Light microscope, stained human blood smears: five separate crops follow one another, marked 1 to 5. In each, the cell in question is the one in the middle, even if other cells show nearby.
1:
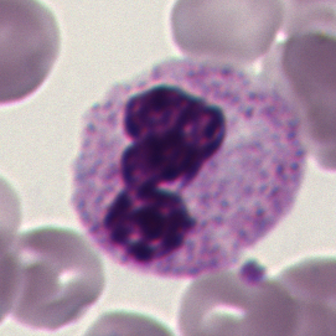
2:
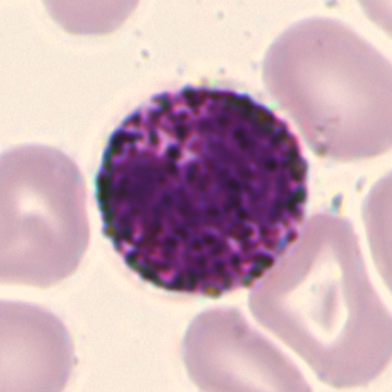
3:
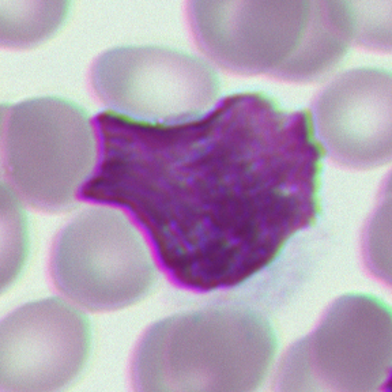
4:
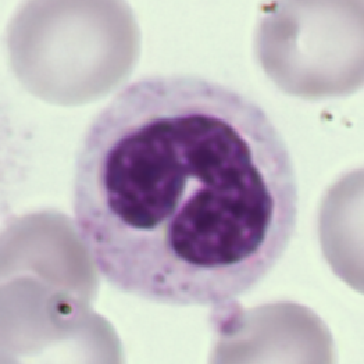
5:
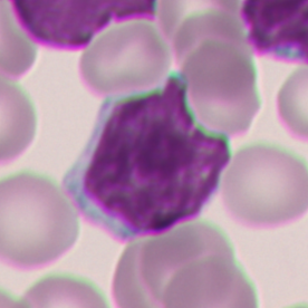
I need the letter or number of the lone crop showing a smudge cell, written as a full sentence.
Crop 3 alone, of all the crops, shows a smudge cell.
